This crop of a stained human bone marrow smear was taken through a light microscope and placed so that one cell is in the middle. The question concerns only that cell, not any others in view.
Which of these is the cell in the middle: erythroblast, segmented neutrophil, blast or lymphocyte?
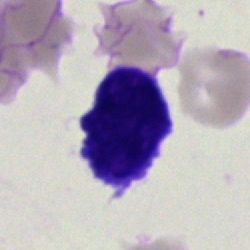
blast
